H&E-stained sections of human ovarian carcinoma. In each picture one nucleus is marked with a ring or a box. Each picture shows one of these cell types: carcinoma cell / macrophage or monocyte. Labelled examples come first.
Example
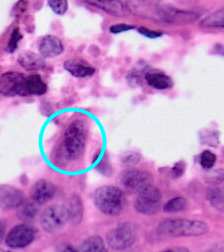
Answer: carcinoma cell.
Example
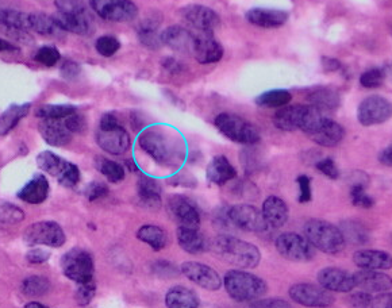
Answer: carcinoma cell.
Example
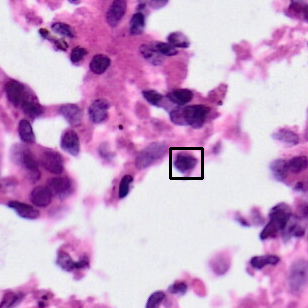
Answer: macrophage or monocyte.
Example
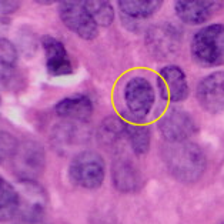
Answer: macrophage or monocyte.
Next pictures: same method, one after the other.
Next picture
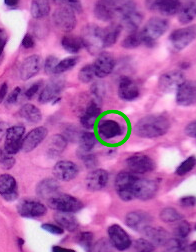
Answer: carcinoma cell.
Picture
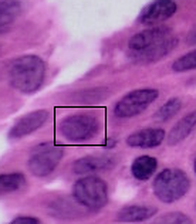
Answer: carcinoma cell.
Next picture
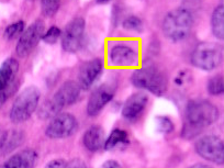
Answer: macrophage or monocyte.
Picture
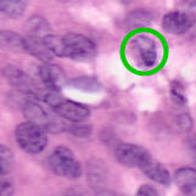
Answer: macrophage or monocyte.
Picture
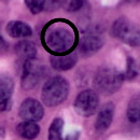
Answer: carcinoma cell.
